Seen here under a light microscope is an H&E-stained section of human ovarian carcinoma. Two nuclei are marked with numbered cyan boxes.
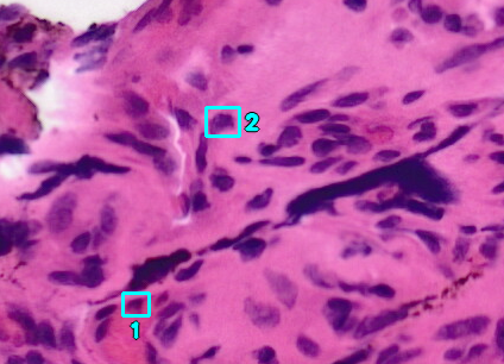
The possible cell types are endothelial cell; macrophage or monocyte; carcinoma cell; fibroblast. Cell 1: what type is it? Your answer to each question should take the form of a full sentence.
The cell to which the number 1 is assigned is an endothelial cell.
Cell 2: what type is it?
Cell 2, among those numbered, is a fibroblast.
